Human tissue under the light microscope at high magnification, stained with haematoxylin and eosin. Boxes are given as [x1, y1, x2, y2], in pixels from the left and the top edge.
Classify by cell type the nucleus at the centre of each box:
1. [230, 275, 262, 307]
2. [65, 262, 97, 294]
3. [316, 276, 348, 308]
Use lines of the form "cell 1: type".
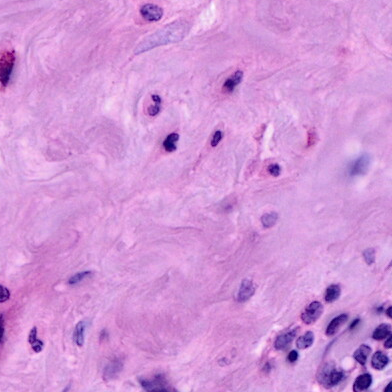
cell 1: fibroblast
cell 2: fibroblast
cell 3: lymphocyte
